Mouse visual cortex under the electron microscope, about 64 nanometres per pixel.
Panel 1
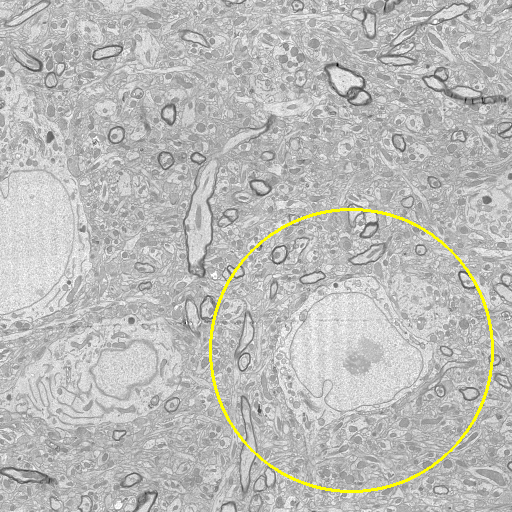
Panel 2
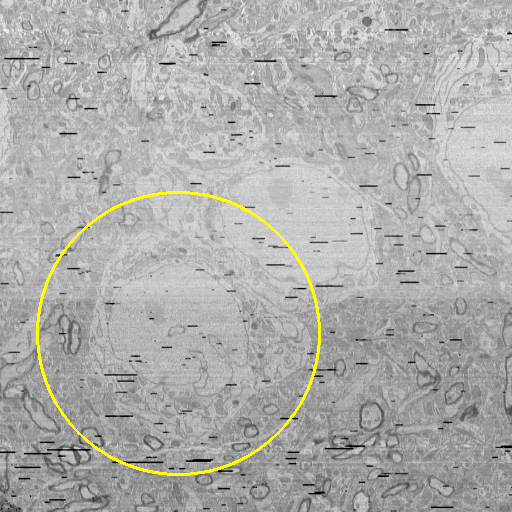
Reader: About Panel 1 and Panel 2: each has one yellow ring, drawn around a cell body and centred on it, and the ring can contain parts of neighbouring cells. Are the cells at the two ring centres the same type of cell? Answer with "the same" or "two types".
the same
